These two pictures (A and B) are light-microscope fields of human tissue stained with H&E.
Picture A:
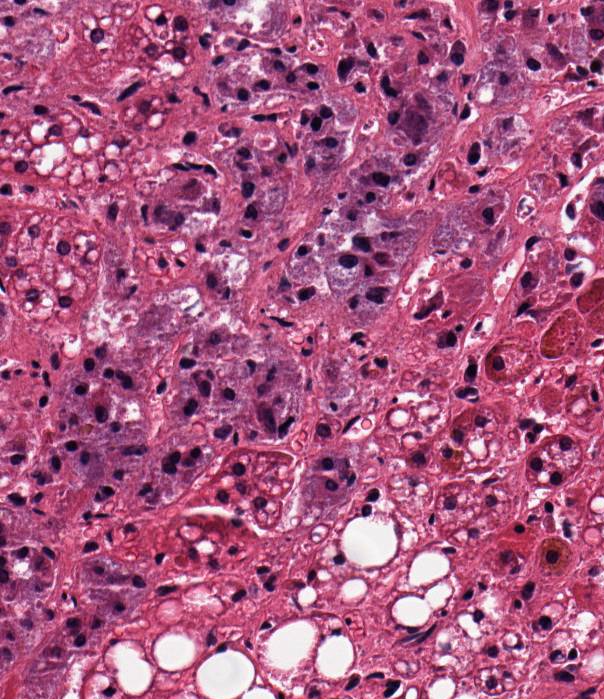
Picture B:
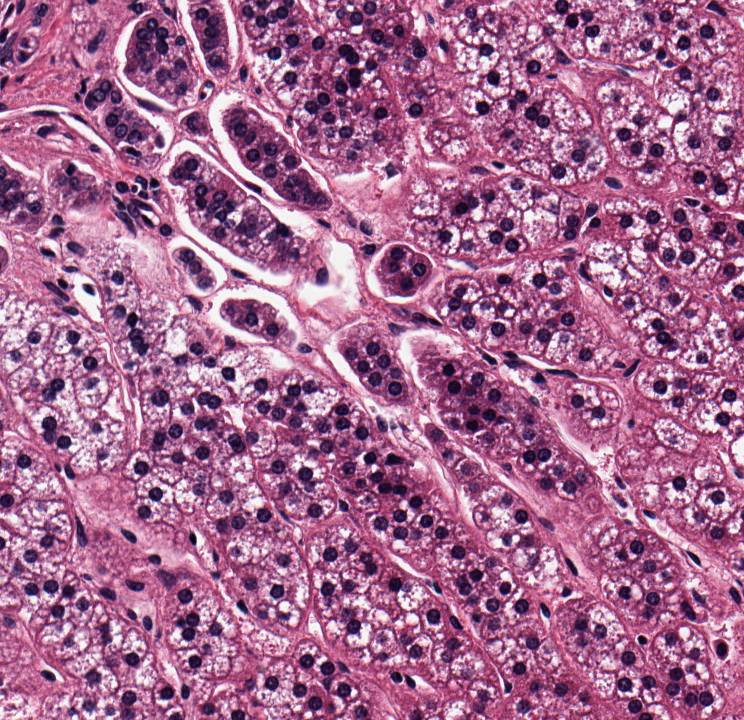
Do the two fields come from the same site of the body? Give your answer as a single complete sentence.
Yes, both come from the adrenal gland.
